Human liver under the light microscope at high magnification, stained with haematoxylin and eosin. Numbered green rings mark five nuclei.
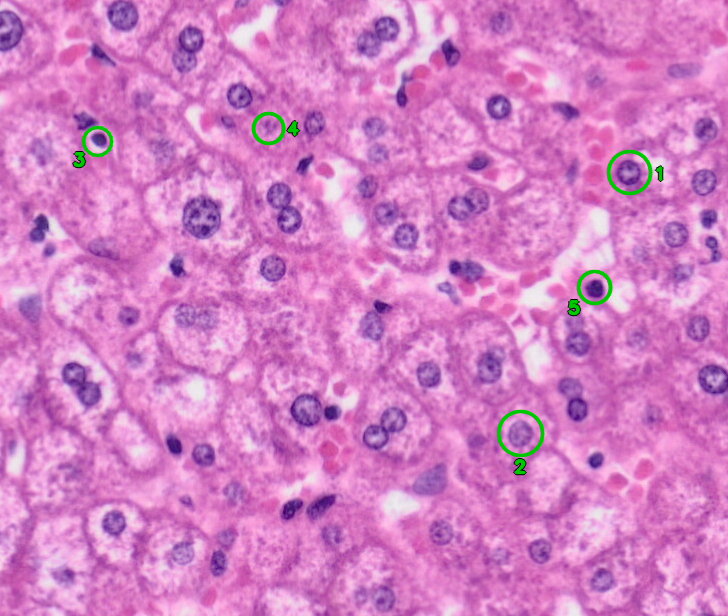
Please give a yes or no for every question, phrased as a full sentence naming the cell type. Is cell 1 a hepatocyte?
Yes, regarding cell number 1, it is a hepatocyte.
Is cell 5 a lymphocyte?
Yes, the cell with its nucleus marked 5 is a lymphocyte.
